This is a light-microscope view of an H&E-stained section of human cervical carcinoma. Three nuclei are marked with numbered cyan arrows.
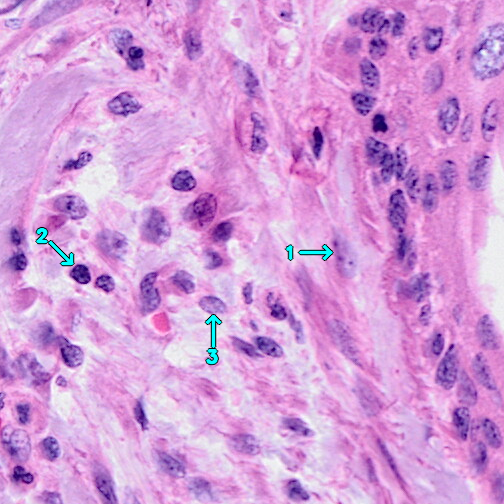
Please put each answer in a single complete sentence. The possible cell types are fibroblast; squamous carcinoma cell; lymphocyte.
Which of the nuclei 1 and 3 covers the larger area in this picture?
At about 2 times the area of nucleus 3, nucleus 1 is the larger of the two.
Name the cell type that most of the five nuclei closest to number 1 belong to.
Of the five nuclei nearest to number 1, most belong to squamous carcinoma cells.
